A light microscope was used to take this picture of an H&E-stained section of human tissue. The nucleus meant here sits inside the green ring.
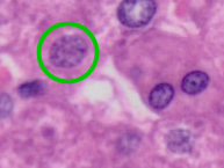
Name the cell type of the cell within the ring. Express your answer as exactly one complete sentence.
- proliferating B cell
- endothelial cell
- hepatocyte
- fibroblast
It is as a hepatocyte that the cell within the ring is recorded.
